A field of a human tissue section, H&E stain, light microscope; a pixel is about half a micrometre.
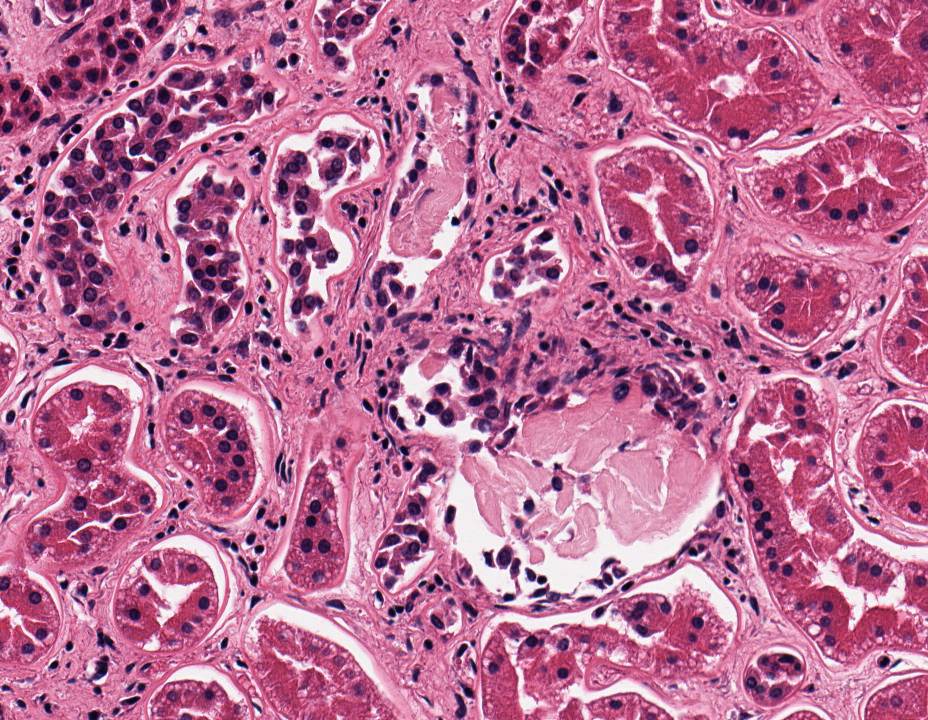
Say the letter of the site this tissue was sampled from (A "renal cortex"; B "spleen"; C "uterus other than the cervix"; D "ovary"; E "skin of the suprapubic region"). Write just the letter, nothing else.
A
